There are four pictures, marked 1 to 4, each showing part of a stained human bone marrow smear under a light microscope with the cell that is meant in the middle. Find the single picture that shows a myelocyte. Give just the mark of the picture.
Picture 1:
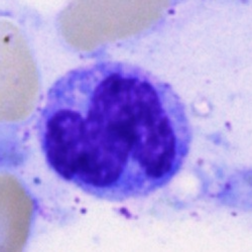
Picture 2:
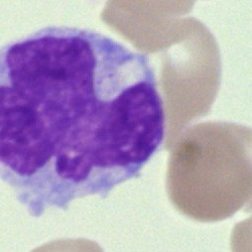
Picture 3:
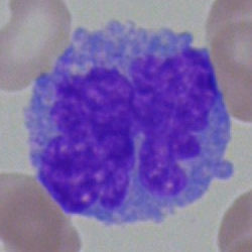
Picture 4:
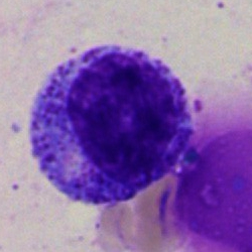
4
